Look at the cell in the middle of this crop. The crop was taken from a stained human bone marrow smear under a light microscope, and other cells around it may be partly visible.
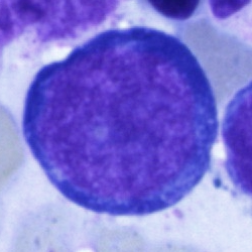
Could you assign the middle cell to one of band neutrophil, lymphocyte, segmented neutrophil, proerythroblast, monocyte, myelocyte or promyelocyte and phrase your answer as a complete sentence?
The center cell of this crop is a proerythroblast.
